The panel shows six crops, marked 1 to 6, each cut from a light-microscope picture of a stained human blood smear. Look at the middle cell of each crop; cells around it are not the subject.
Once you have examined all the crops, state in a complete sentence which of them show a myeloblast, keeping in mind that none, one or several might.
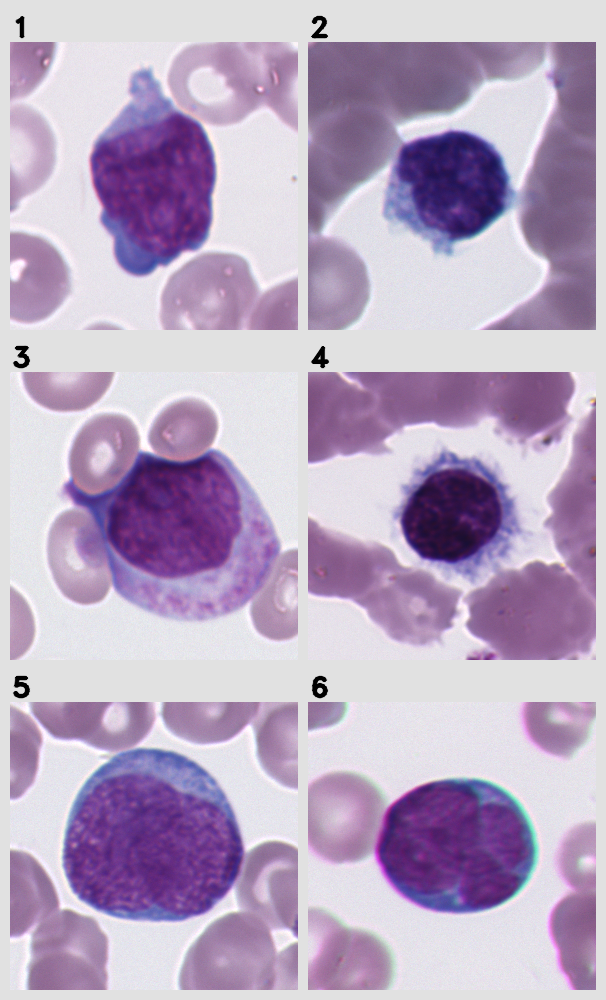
Crops 1, 5 and 6, looked at one by one, show myeloblasts in the middle.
